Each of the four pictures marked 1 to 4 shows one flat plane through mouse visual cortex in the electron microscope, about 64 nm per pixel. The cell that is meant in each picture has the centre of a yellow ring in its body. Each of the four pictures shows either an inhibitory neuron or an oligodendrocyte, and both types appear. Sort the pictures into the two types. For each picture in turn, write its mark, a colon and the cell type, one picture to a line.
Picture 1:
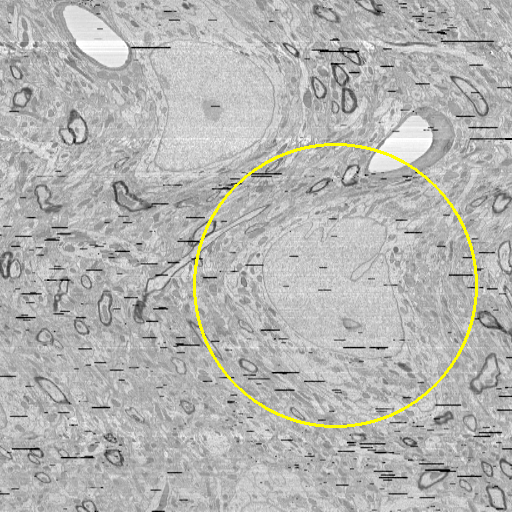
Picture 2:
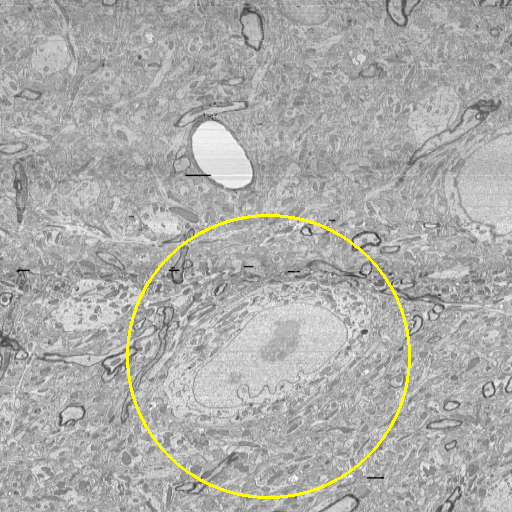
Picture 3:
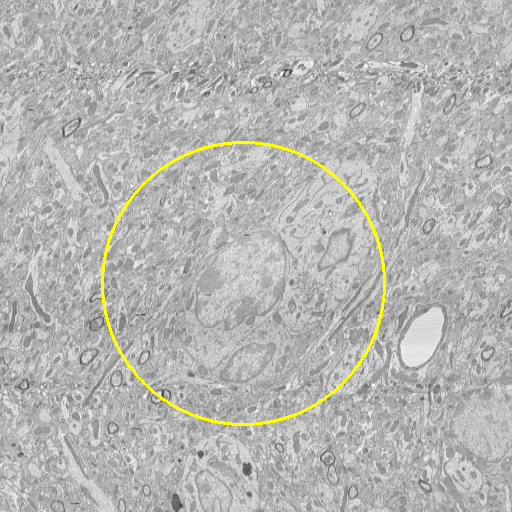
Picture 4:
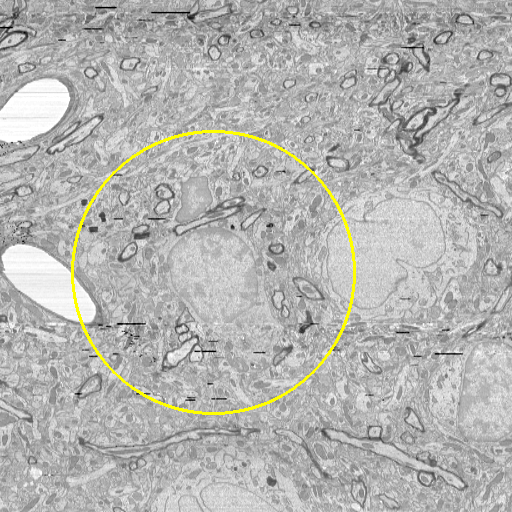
1: inhibitory neuron
2: inhibitory neuron
3: oligodendrocyte
4: oligodendrocyte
